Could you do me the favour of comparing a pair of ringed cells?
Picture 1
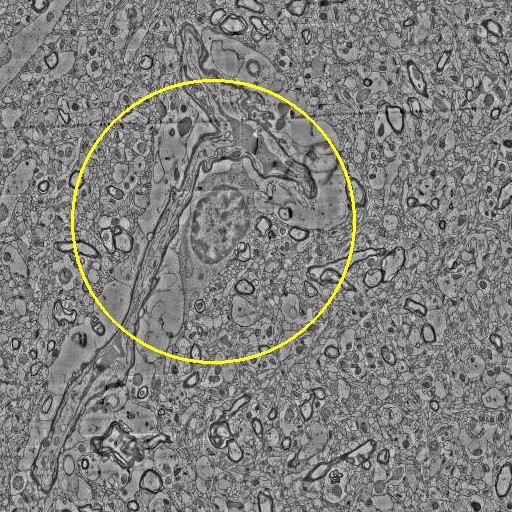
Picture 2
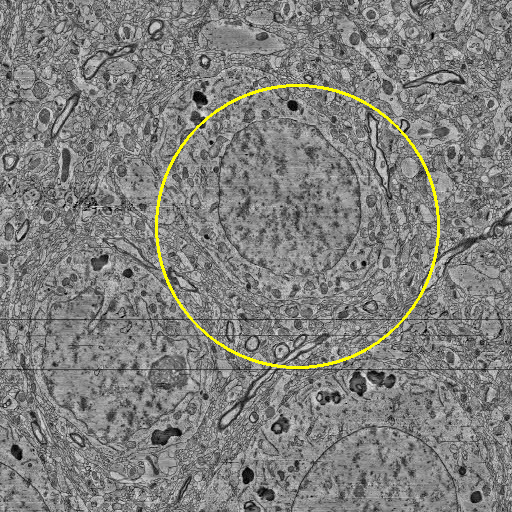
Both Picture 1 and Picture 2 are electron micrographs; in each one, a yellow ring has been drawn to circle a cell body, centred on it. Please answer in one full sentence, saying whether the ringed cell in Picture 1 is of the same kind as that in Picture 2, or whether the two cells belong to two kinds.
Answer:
The ringed cells in Picture 1 and Picture 2 belong to two kinds.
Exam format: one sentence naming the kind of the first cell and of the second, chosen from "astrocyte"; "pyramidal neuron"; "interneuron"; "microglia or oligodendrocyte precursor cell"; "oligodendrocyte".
The first picture's cell is an oligodendrocyte, and the second picture's cell is an interneuron.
